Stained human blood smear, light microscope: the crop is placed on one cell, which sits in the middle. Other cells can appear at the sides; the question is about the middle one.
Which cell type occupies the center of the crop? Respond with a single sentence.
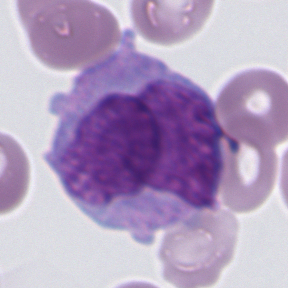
Where the crop is centred, there is an atypical promyelocyte.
